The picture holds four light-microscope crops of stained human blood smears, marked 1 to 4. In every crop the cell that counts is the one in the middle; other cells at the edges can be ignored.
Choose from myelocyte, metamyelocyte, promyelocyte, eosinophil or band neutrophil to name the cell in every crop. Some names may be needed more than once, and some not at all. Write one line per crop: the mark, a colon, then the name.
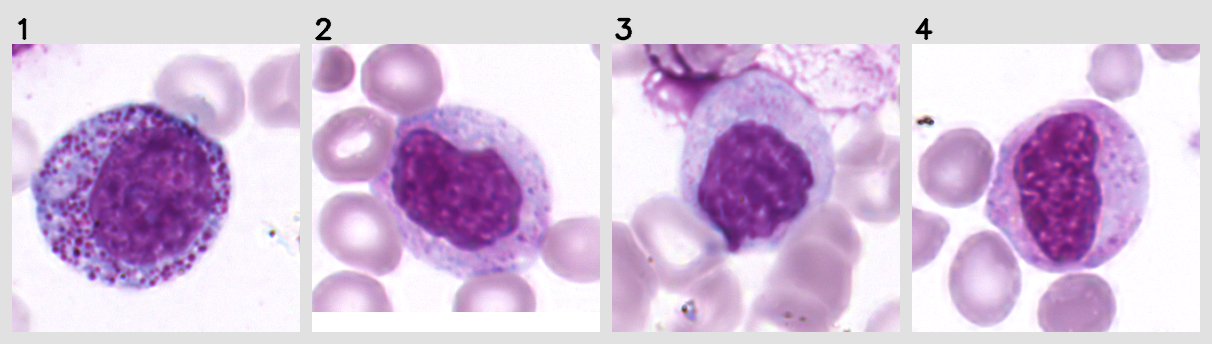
1: promyelocyte
2: metamyelocyte
3: myelocyte
4: metamyelocyte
